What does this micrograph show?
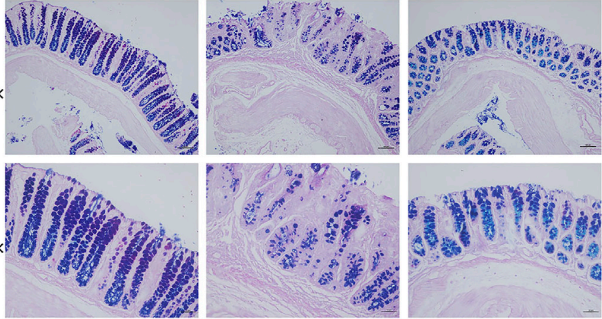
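These are sections of colonic mucosa in which goblet cells stand out as rounded cells filled with blue to purple mucin along the crypts. In the left column the crypts are long, straight and regularly spaced, and their walls are densely packed with darkly stained goblet cells. In the middle column the crypts are shorter and irregular, and the stained goblet cells are sparse and scattered. In the right column the crypts are again arranged in a row, and many goblet cells hold bright blue mucin. Beneath the mucosa, the submucosa and muscle layer stain pale pink and carry no blue material.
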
